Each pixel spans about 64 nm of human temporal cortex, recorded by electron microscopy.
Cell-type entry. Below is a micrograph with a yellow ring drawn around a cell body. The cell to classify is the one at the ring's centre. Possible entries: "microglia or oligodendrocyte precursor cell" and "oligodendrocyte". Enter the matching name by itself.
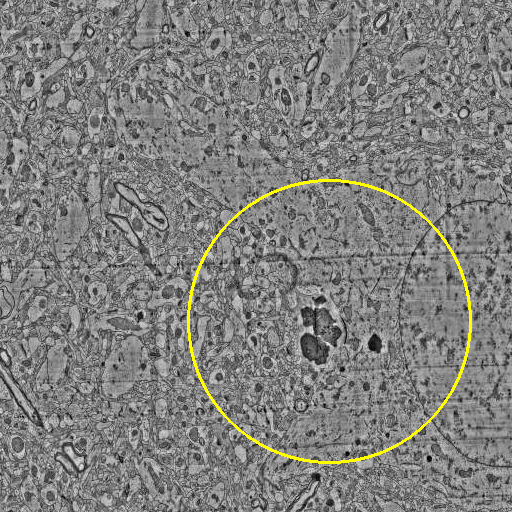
oligodendrocyte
